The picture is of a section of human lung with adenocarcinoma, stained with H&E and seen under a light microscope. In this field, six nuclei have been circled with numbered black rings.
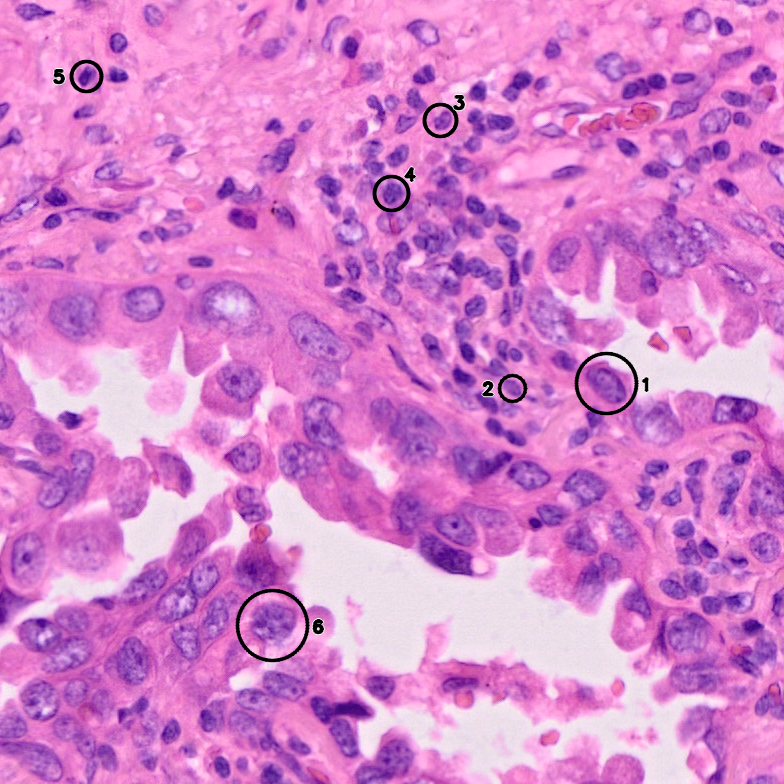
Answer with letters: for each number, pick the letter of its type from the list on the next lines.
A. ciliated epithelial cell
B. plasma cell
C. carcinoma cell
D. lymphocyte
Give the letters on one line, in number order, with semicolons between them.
C; D; D; D; D; C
